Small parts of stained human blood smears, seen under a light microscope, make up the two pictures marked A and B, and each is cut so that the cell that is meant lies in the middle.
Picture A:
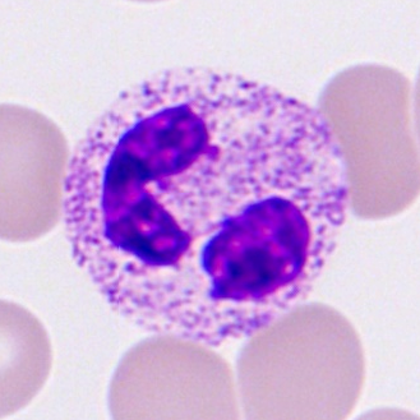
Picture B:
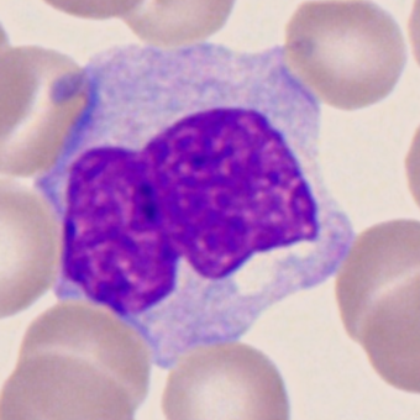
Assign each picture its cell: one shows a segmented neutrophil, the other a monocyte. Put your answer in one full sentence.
Picture A is of a segmented neutrophil, and picture B is of a monocyte.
